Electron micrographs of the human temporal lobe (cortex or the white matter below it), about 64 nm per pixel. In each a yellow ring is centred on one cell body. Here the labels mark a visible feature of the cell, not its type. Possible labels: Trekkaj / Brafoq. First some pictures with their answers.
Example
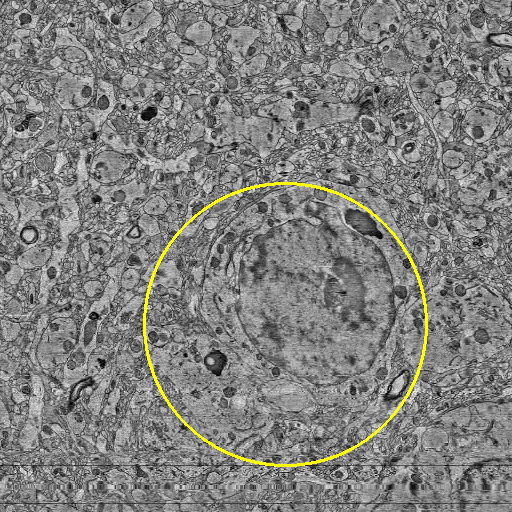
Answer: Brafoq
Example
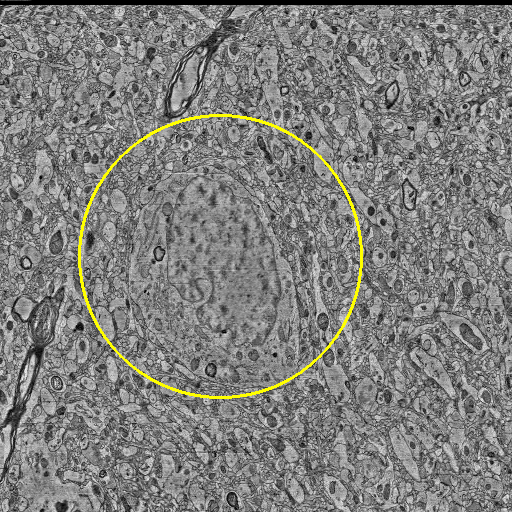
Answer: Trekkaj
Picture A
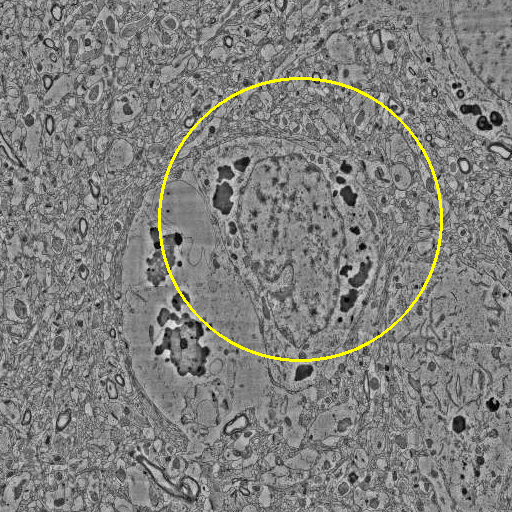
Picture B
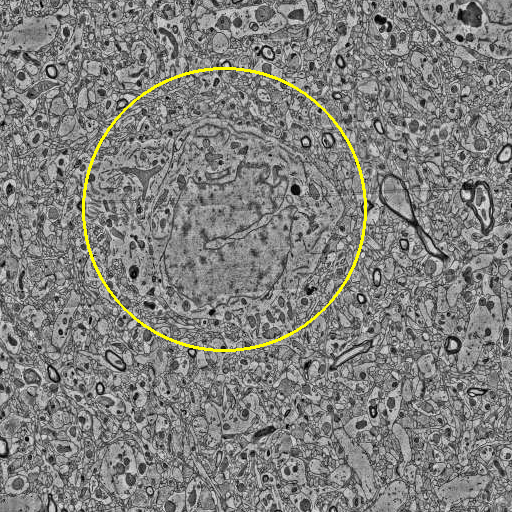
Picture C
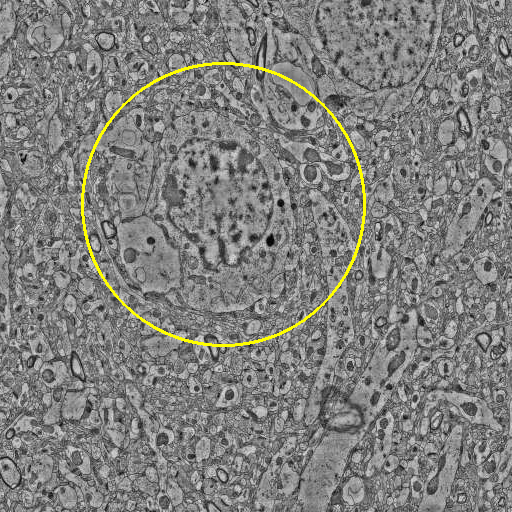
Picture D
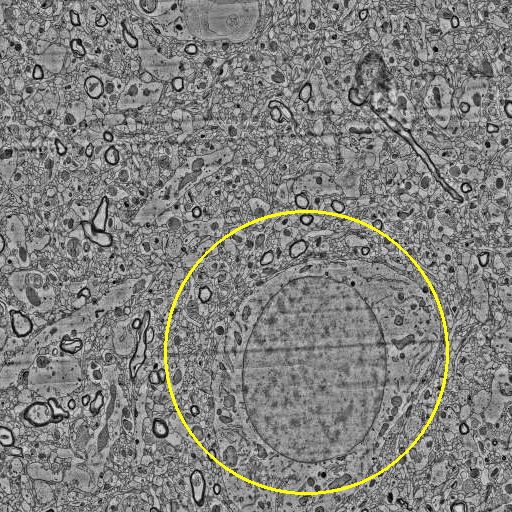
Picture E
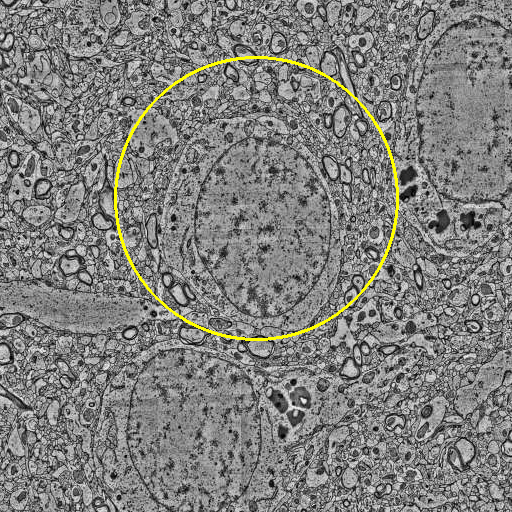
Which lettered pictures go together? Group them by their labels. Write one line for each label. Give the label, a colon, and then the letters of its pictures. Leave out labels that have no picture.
Trekkaj: A, B, C
Brafoq: D, E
